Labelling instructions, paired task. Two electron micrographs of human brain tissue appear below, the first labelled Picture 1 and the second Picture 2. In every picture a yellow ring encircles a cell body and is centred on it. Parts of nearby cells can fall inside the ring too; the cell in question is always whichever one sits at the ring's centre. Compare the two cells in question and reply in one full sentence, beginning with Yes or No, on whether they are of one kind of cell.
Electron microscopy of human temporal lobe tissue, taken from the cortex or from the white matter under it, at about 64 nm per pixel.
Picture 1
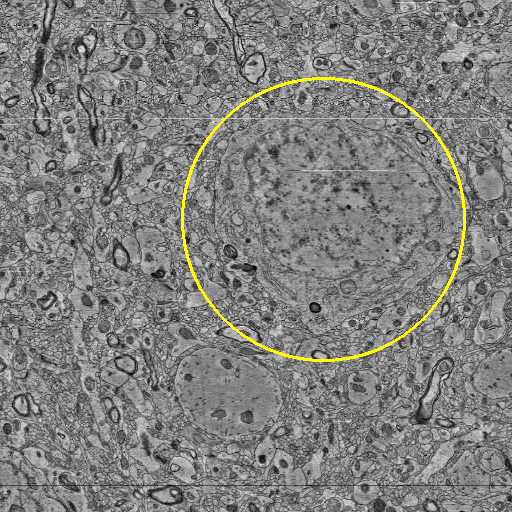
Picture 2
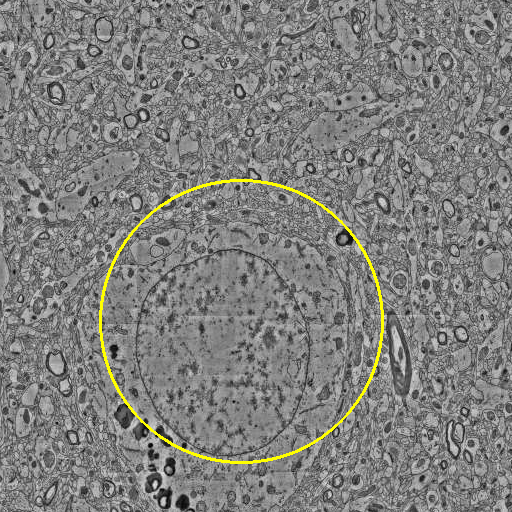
No, the two cells at the ring centres in Picture 1 and Picture 2 are of two kinds.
